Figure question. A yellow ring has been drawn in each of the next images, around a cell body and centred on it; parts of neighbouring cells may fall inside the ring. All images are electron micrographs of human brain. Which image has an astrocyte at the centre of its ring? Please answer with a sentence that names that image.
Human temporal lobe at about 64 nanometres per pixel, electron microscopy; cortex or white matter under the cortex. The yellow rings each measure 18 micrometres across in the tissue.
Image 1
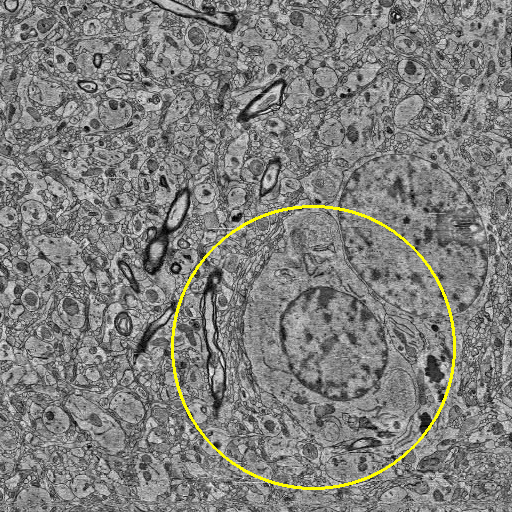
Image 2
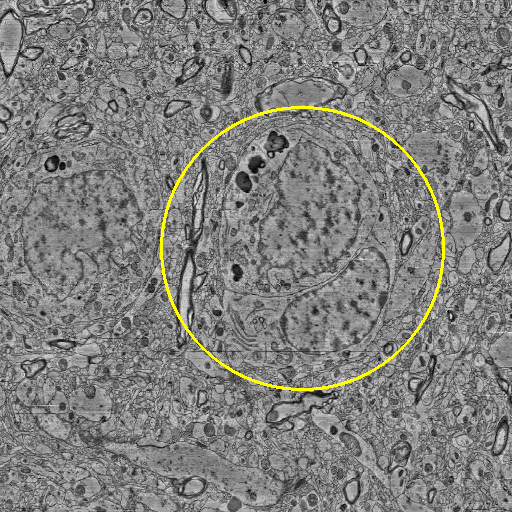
The cell at the centre of the ring in Image 1 is of that kind.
